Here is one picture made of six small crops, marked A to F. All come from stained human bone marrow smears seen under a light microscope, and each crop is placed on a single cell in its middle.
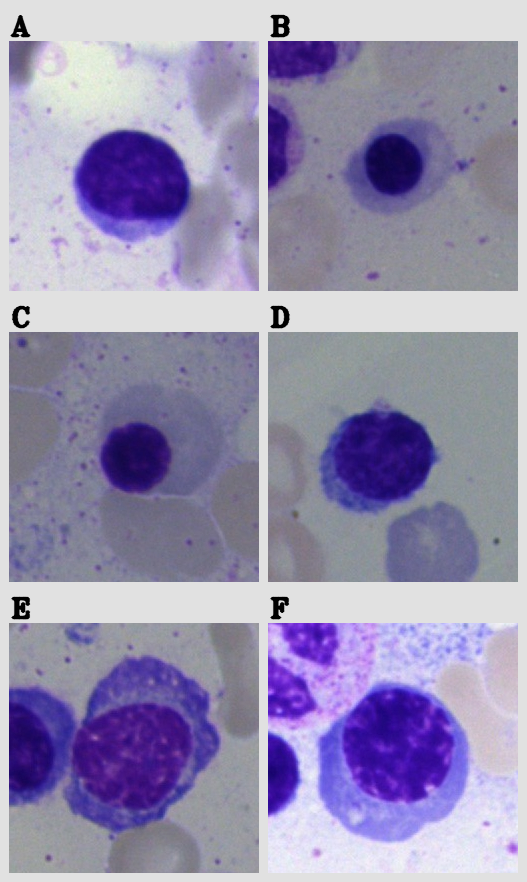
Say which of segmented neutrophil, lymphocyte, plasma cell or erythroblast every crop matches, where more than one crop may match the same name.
A: lymphocyte
B: erythroblast
C: erythroblast
D: lymphocyte
E: plasma cell
F: erythroblast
